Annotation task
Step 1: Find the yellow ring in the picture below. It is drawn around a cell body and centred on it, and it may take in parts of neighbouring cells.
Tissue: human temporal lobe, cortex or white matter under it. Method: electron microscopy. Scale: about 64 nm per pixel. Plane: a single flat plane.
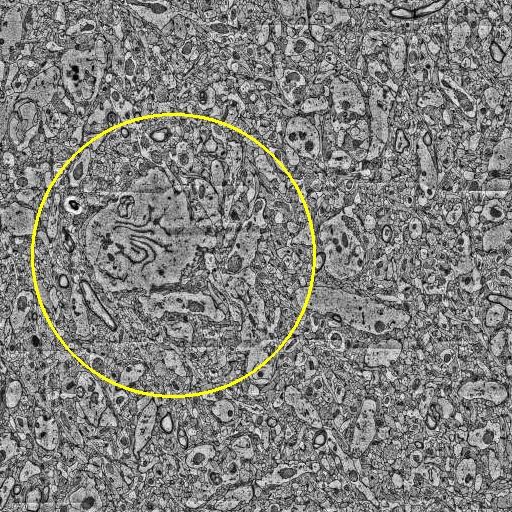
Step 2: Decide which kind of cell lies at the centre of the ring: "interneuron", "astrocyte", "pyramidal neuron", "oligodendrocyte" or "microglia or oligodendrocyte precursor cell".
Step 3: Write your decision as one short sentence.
The kind of cell at the ring's centre is an astrocyte.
